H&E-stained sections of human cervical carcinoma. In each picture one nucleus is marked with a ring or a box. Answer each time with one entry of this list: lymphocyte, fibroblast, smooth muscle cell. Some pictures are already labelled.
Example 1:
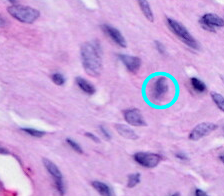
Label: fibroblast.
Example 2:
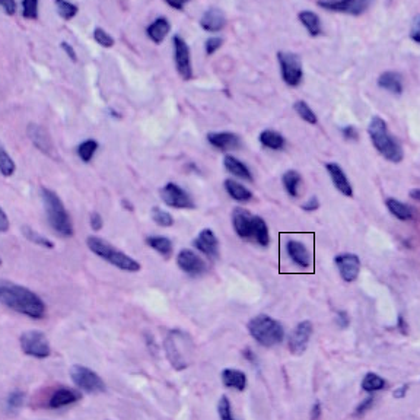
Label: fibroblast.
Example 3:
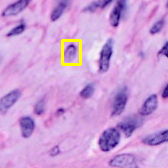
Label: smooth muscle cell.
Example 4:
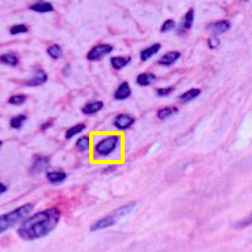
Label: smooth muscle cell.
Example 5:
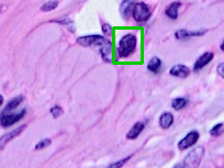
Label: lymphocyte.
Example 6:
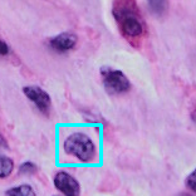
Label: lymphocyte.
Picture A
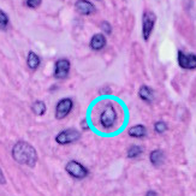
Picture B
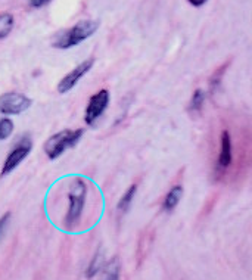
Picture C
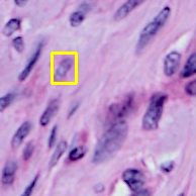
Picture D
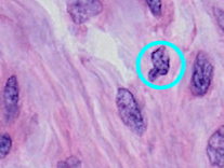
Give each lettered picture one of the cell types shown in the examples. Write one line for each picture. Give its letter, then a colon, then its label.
A: smooth muscle cell.
B: smooth muscle cell.
C: smooth muscle cell.
D: lymphocyte.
